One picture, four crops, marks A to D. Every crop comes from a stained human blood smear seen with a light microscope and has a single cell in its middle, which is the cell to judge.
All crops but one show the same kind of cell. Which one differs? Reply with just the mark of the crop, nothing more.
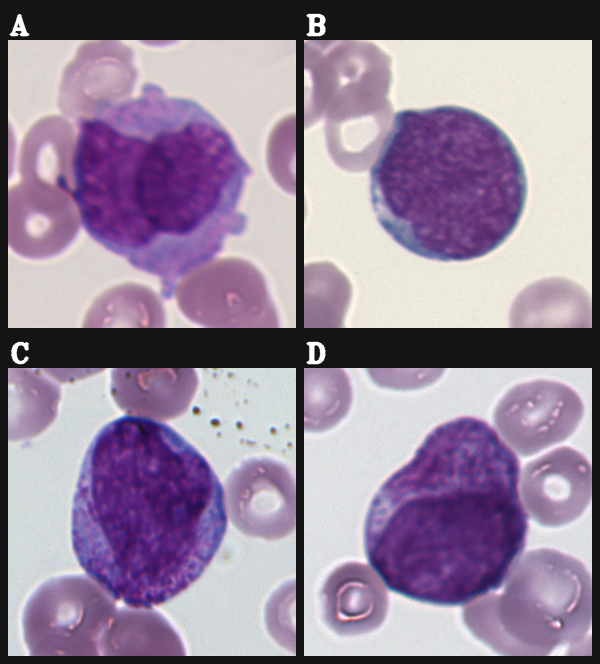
B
